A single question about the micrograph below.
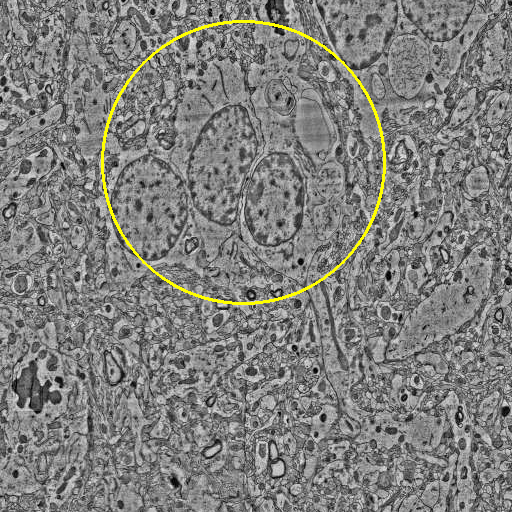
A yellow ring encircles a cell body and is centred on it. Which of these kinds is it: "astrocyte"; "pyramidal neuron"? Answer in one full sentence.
The cell body at the centre of the yellow ring belongs to an astrocyte.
